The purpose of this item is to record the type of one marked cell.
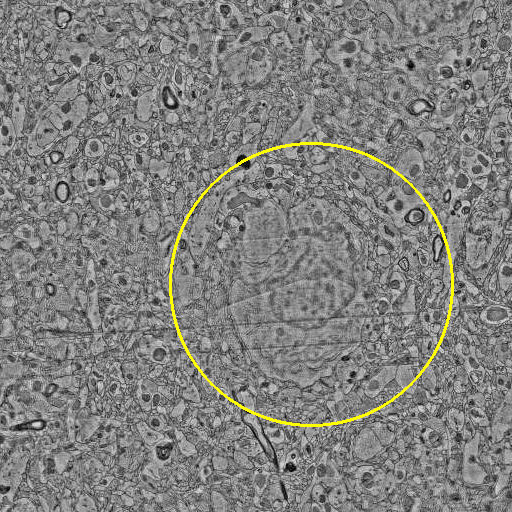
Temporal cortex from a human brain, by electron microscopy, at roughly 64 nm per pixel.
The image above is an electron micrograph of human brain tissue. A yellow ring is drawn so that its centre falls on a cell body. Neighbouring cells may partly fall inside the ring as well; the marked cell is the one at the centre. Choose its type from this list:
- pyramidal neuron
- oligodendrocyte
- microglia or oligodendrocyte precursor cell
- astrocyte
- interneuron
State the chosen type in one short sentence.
What the ring marks here is an interneuron.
